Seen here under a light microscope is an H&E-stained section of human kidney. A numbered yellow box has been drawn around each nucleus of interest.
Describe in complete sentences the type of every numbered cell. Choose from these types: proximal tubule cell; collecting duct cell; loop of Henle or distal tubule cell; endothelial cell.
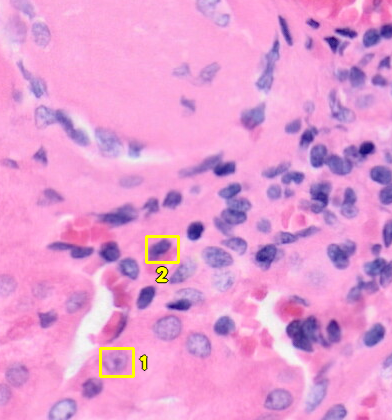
Cell 1 is a proximal tubule cell and cell 2 is an endothelial cell.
